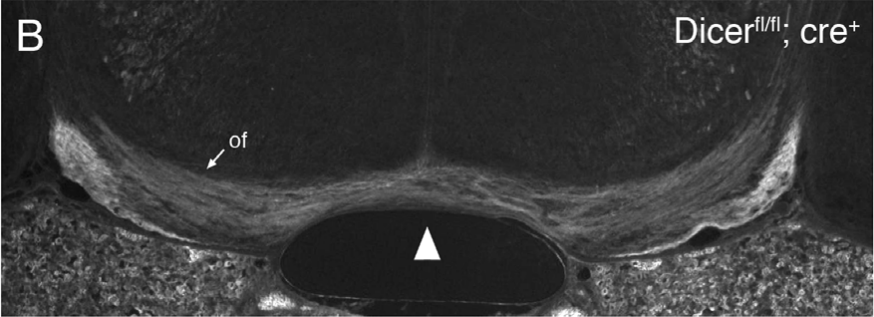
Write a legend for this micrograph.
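Optic fibers at the chiasm are disorganized. The axons form a wide, loosely packed, streaky band. The band curves up along both sides of the section. Fibers are spread through a thick layer rather than gathered in a compact bundle, and some lie deeper within the tissue above. The brightest labelling sits at the lateral ends of the band.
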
